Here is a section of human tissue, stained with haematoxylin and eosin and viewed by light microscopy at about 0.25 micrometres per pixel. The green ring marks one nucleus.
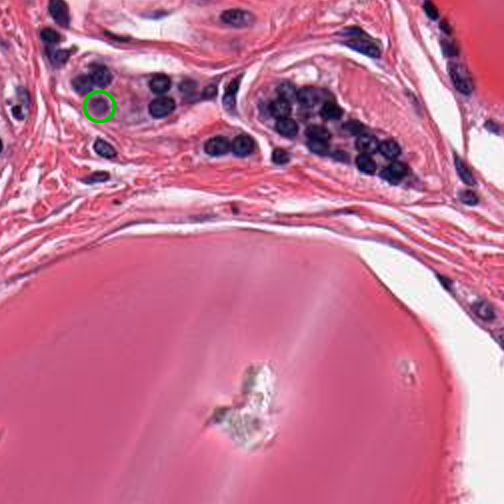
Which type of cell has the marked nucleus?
thyroid follicular cell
